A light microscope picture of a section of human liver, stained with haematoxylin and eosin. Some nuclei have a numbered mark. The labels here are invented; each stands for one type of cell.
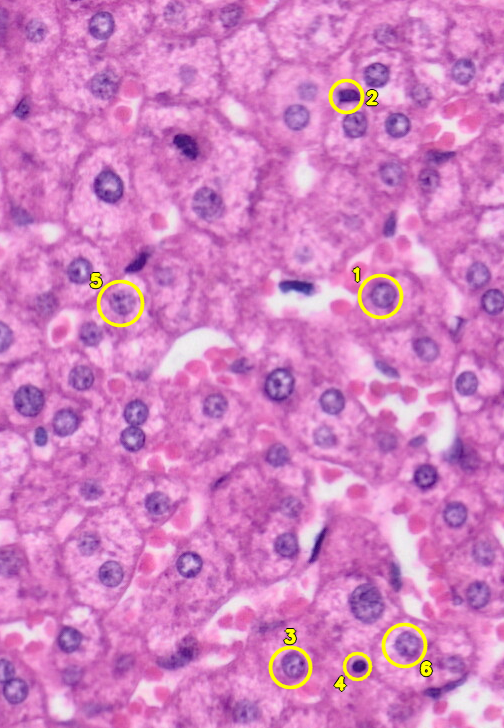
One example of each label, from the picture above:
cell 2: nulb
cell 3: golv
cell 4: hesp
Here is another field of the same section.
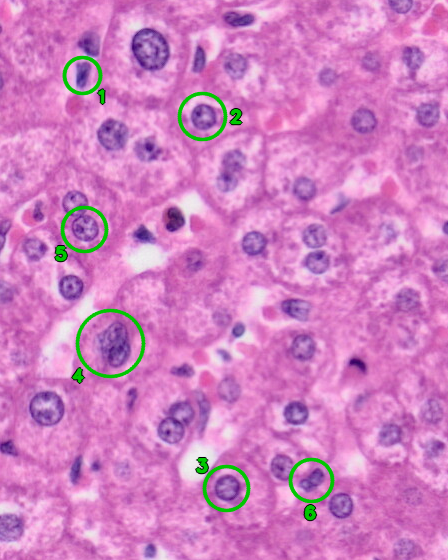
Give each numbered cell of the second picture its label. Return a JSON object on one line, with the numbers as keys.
{"1": "hesp", "2": "golv", "3": "golv", "4": "golv", "5": "golv", "6": "nulb"}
